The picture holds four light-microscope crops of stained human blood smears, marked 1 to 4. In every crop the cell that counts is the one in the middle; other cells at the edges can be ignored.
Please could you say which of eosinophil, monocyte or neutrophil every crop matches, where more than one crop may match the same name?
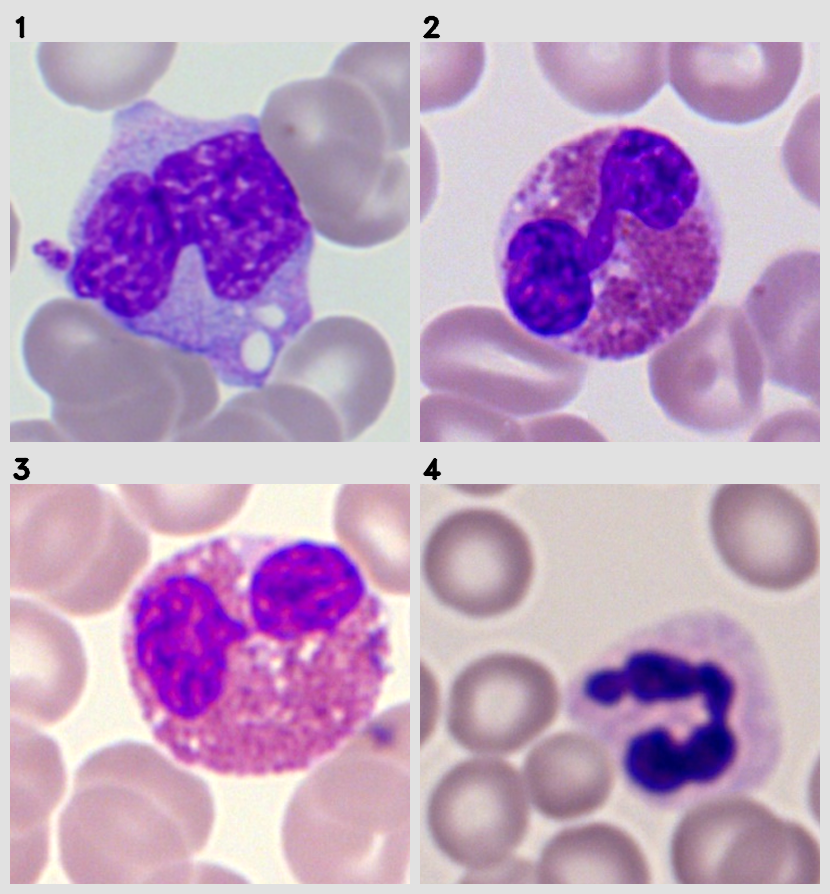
1: monocyte
2: eosinophil
3: eosinophil
4: neutrophil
